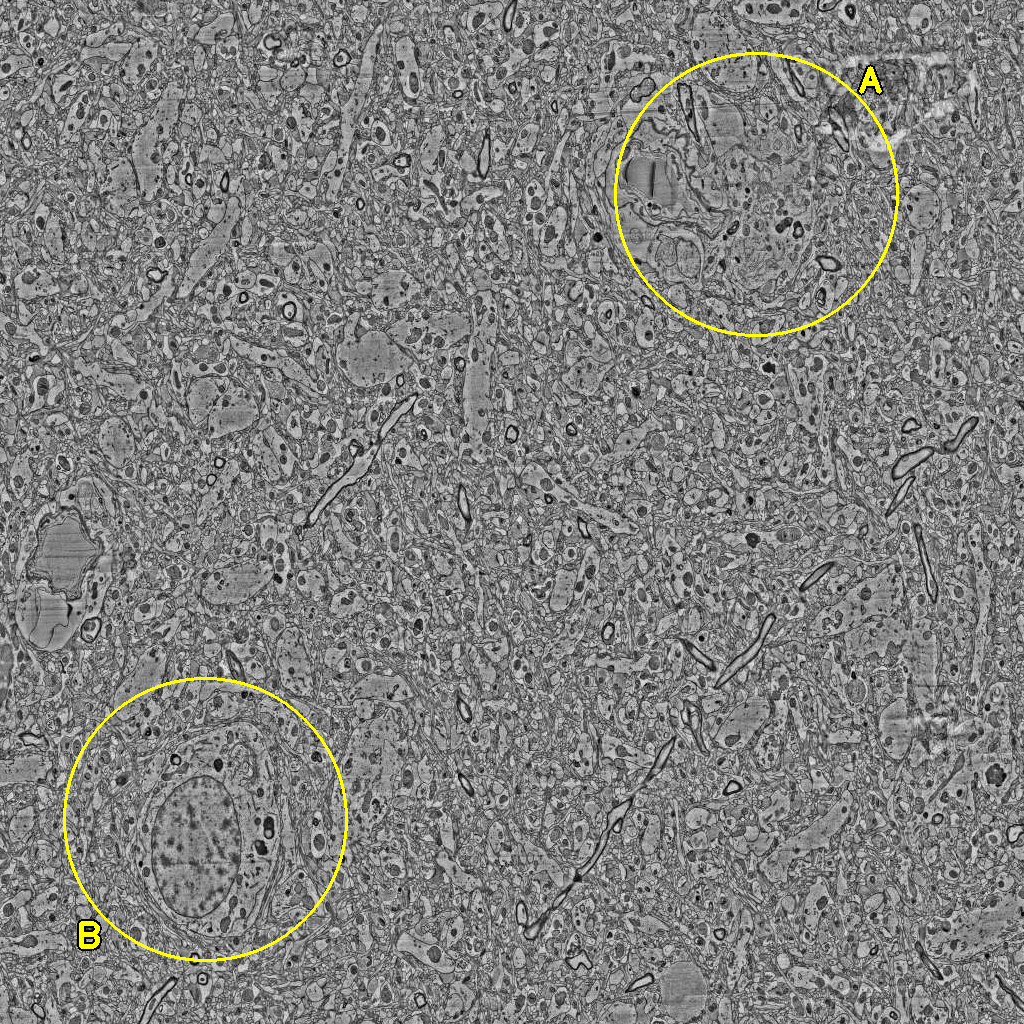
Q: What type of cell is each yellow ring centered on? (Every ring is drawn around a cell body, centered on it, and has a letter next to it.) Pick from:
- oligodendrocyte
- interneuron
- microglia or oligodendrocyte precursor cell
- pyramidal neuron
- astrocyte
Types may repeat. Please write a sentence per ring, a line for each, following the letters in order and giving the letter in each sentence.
The cell body centered in ring A belongs to an interneuron.
The cell body centered in ring B belongs to a pyramidal neuron.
